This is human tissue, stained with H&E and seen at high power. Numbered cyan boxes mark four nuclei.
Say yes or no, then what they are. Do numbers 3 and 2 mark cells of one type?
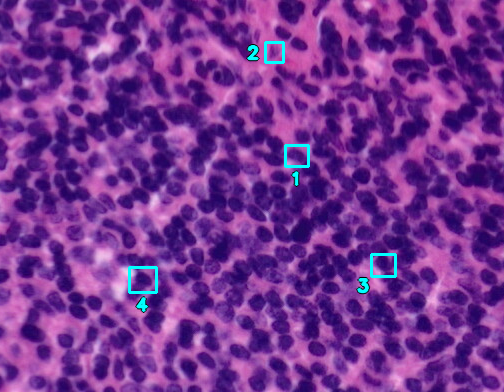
No, unlike cell 3, which is a small lymphocyte, cell 2 is an endothelial cell.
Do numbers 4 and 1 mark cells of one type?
Yes, cell 4 is one of the small lymphocytes, and so is cell 1.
